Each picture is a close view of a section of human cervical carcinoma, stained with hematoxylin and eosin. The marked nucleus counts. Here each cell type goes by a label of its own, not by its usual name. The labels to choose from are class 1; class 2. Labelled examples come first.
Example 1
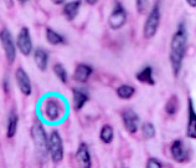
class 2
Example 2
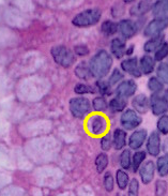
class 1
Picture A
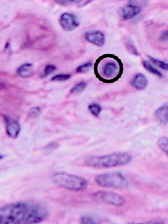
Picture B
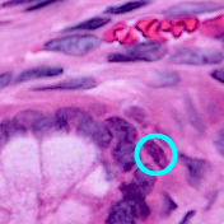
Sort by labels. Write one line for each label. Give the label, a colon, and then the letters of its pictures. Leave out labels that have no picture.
class 1: B
class 2: A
